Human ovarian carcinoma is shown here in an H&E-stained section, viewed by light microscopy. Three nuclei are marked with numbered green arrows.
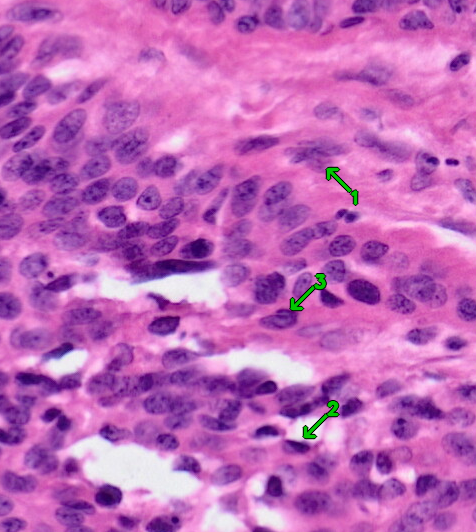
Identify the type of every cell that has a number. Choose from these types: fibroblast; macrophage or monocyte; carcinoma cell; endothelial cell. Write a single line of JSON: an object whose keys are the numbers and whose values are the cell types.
{"1": "fibroblast", "2": "carcinoma cell", "3": "endothelial cell"}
